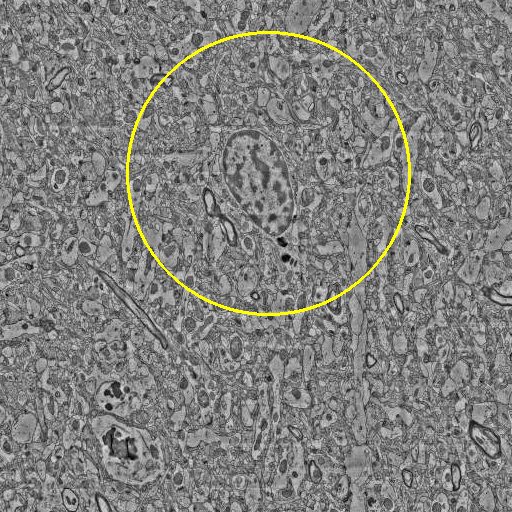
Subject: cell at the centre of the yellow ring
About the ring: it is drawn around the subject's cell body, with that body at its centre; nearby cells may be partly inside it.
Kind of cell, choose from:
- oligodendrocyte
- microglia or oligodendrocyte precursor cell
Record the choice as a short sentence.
The subject cell is a microglial cell or oligodendrocyte precursor cell.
